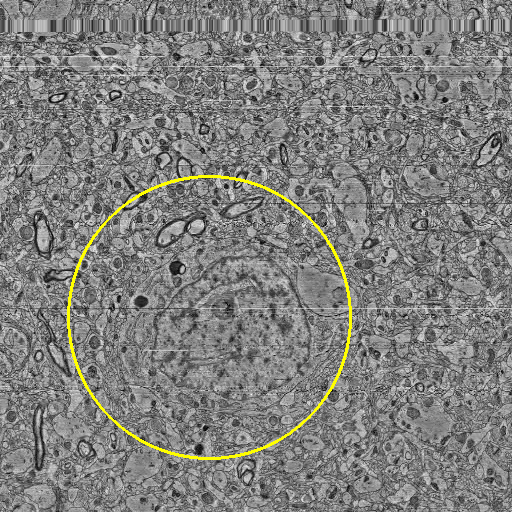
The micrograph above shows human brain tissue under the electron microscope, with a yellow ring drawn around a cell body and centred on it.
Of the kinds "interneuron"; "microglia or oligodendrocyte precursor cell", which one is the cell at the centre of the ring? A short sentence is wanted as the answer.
The one at the centre of the ring is an interneuron.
